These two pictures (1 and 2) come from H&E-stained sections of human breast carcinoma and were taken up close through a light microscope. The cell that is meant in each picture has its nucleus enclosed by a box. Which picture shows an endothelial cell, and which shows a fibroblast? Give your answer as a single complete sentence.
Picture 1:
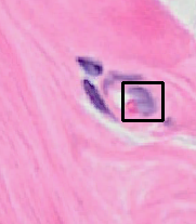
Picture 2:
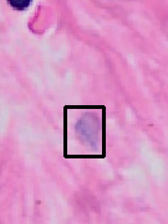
Picture 1 shows an endothelial cell and picture 2 shows a fibroblast.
